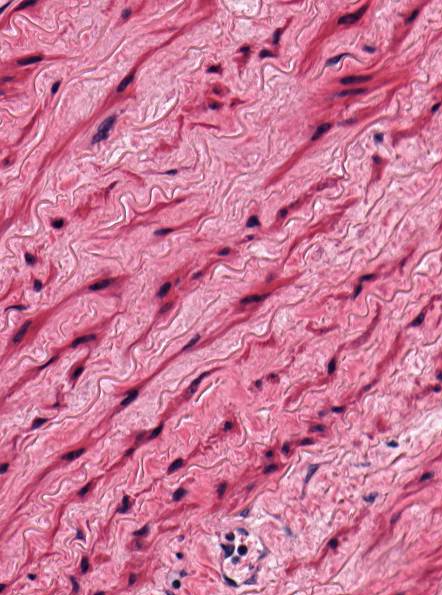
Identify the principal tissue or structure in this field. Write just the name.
tunica media of an artery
